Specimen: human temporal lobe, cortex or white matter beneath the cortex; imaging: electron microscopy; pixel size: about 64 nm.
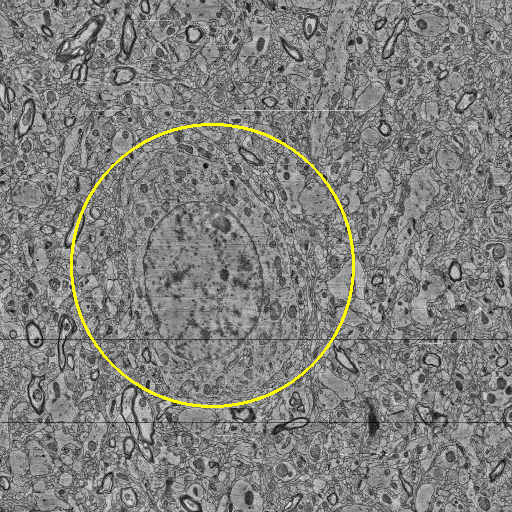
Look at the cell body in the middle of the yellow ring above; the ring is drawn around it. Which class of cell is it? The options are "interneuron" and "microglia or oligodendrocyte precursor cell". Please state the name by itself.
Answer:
interneuron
